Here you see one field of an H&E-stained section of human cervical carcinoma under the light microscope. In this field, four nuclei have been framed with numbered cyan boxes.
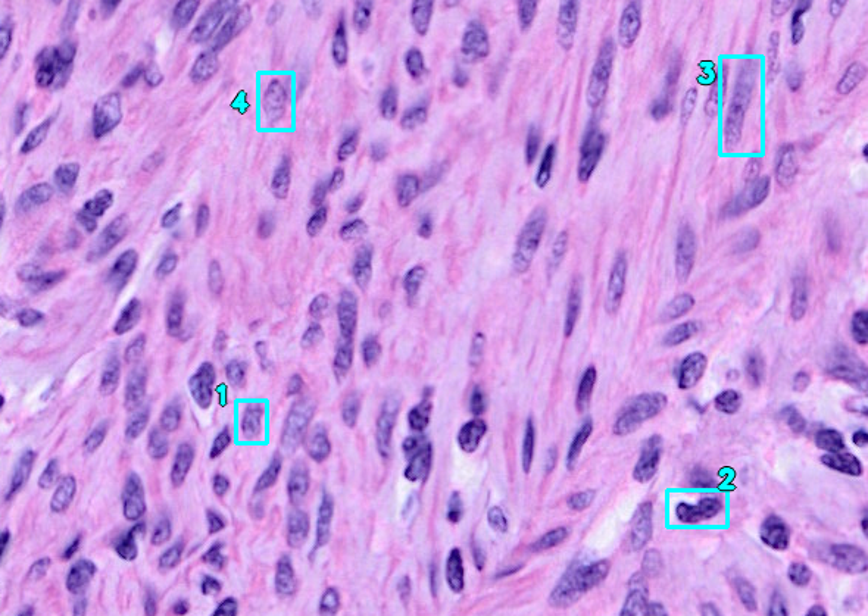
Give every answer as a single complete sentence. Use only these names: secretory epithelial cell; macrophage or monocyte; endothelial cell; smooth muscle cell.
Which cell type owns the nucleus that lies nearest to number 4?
The cell nearest to number 4 is a smooth muscle cell.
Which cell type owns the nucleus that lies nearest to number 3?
Number 3 lies closest to the nucleus of a smooth muscle cell.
